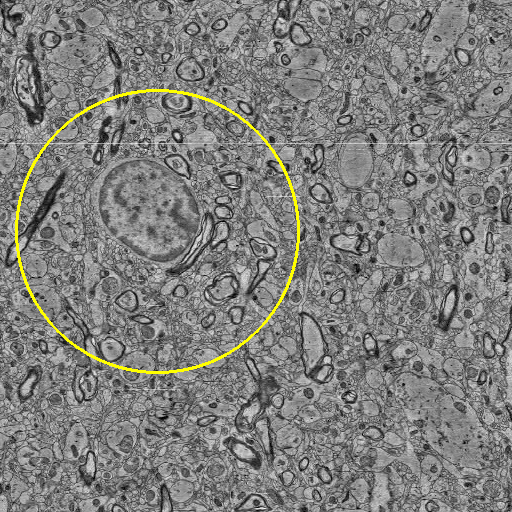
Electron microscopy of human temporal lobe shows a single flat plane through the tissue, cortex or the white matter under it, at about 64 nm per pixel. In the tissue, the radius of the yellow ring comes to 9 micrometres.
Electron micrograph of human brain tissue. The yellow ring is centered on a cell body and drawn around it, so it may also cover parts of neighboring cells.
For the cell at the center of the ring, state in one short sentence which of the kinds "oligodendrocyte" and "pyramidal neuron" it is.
This ring is centered on an oligodendrocyte.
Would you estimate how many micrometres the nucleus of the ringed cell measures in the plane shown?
Approximately 7 x 6 micrometres in this plane.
